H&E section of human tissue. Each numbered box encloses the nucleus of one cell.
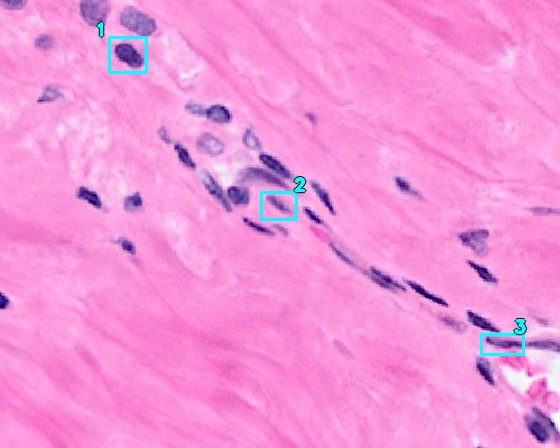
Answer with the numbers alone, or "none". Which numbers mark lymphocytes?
1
